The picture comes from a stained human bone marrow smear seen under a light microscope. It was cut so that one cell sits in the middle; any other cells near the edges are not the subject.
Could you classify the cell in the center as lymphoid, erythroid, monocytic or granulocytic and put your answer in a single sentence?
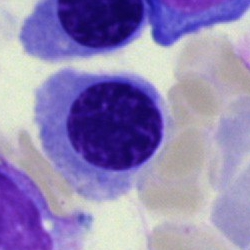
Lineage assignment for the central cell is erythroid.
